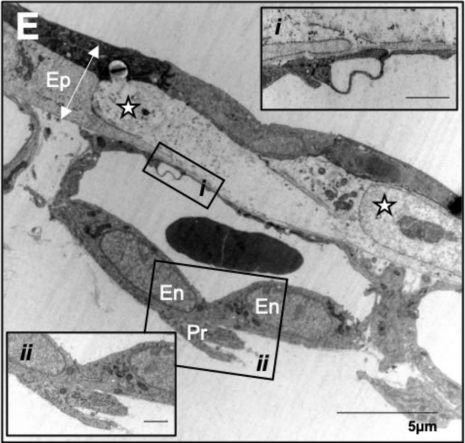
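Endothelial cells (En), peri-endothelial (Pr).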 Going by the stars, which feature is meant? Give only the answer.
Large electron-lucent regions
